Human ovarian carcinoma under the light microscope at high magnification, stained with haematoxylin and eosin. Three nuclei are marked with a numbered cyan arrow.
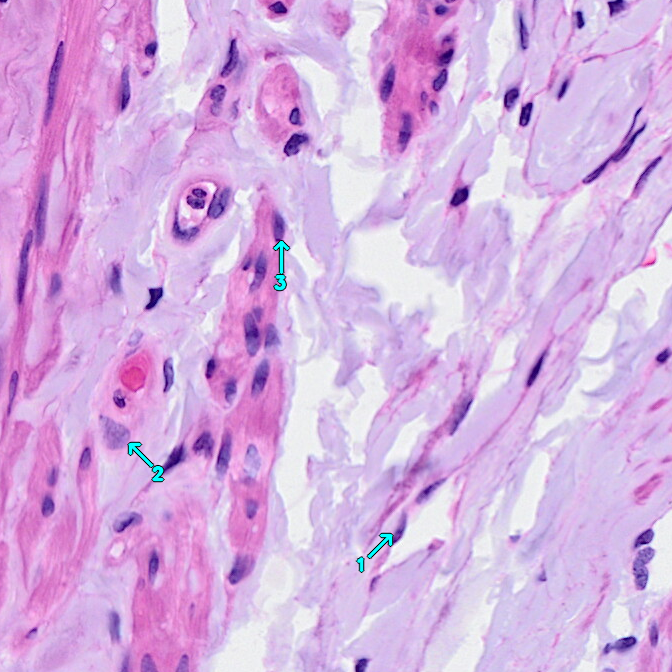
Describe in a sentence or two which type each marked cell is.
Cells 1 and 2 are endothelial cells. Cell 3 is a smooth muscle cell.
